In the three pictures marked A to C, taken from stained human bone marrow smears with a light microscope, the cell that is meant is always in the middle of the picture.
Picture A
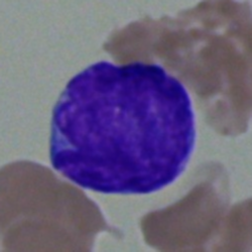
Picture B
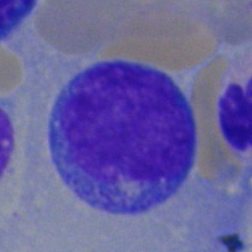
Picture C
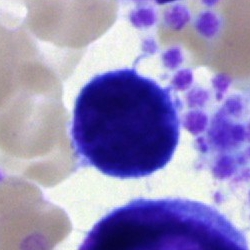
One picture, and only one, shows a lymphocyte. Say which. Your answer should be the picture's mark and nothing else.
C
